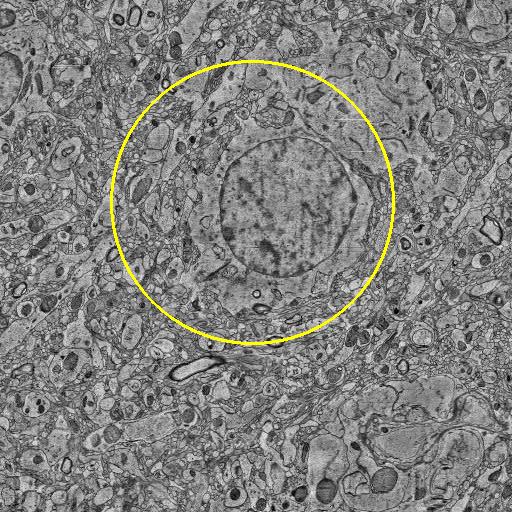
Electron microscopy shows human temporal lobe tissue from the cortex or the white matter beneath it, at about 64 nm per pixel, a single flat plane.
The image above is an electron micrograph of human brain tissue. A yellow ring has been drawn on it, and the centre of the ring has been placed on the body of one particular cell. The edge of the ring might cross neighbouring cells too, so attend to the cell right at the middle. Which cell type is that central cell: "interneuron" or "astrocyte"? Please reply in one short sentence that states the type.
The central cell in the ring is an astrocyte.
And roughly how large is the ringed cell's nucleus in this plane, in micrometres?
Approximately 9 micrometres across in this plane.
